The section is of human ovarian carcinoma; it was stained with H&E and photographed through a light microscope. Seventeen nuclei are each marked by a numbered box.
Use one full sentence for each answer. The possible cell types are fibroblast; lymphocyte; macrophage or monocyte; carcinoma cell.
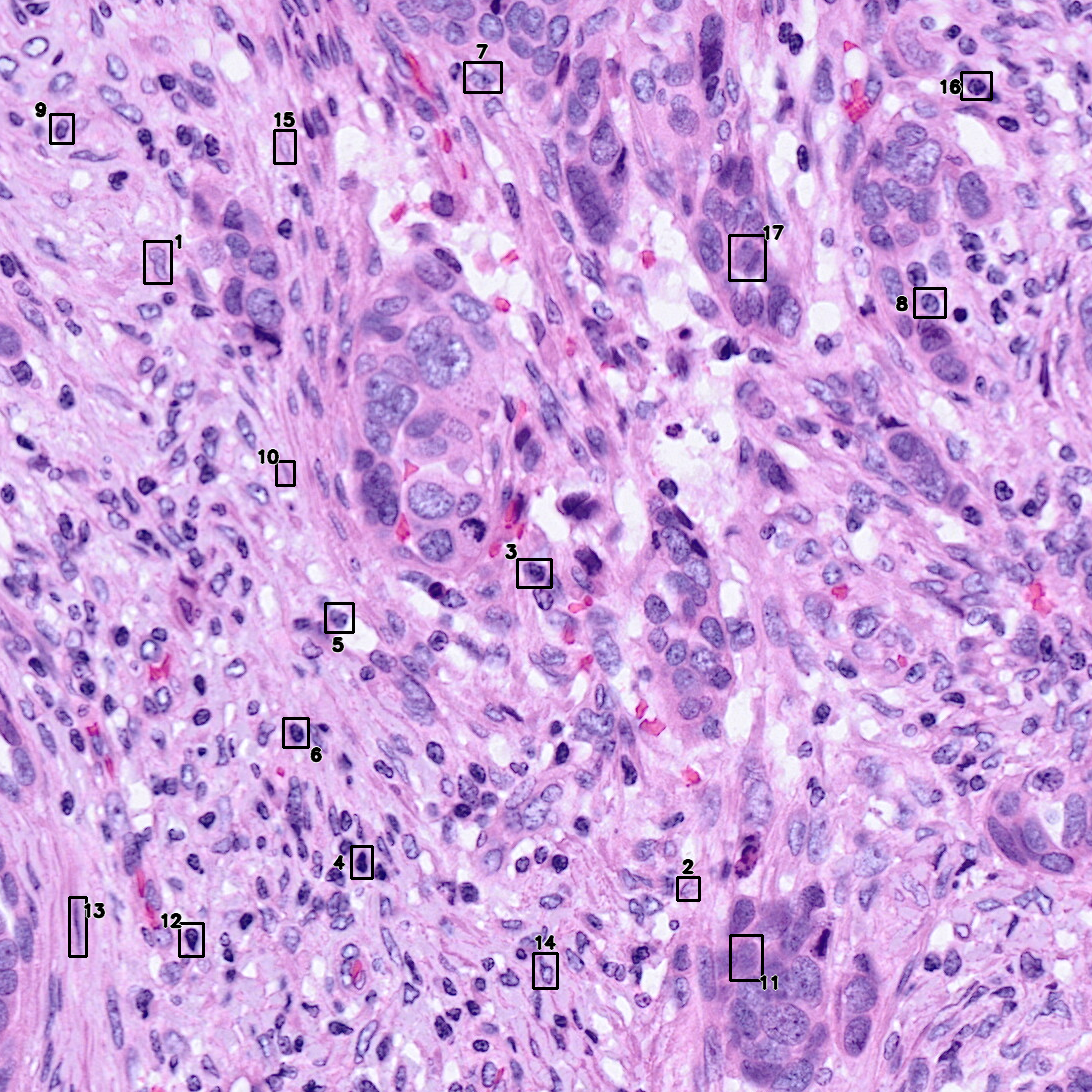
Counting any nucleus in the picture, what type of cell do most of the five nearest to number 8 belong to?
Of the five nuclei nearest to number 8, most belong to carcinoma cells.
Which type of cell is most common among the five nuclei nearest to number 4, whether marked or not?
The majority of the five nuclei closest to number 4 belong to lymphocytes.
